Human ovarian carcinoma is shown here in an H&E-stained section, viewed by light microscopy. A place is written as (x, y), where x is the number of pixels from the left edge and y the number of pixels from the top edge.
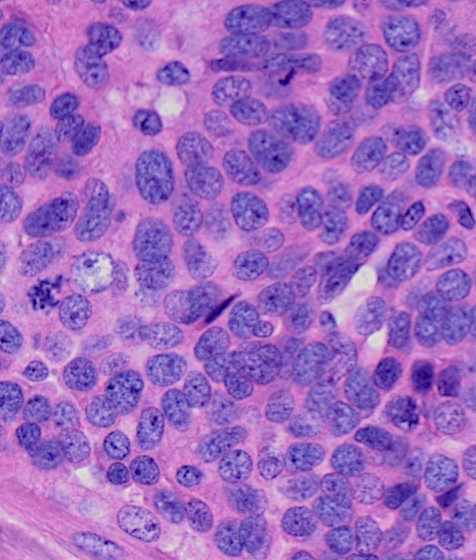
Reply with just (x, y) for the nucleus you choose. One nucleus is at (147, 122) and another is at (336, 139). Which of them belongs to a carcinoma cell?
(336, 139)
